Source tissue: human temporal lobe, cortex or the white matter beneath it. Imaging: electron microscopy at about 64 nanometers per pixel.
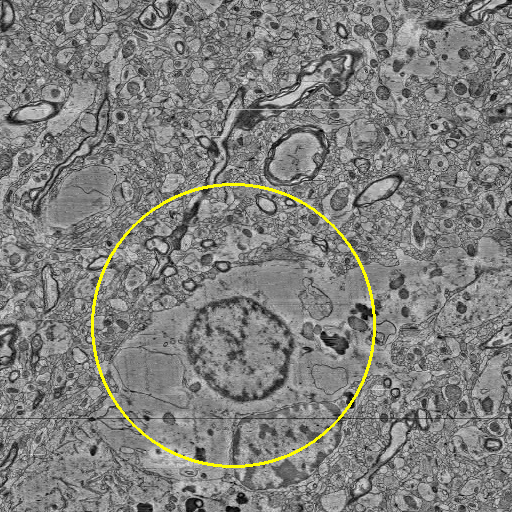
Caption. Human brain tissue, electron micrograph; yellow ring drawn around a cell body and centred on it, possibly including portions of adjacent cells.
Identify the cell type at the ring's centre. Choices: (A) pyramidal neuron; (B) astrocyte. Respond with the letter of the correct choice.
B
